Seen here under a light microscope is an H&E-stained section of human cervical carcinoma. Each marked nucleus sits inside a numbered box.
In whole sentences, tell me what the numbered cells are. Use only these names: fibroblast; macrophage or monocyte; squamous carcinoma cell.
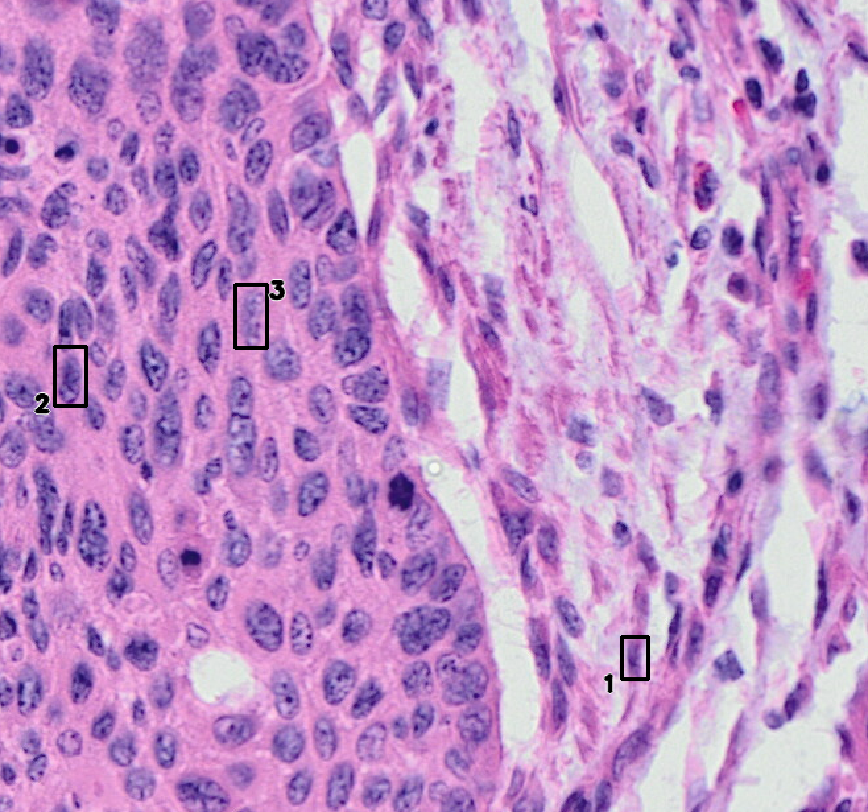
Cell 1 is a fibroblast, cell 2 is a squamous carcinoma cell and cell 3 is a squamous carcinoma cell.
